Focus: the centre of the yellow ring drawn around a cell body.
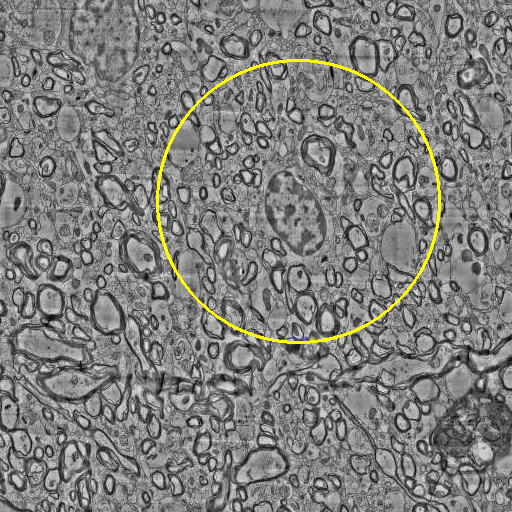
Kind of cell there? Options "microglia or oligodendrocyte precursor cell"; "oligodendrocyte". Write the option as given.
microglia or oligodendrocyte precursor cell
